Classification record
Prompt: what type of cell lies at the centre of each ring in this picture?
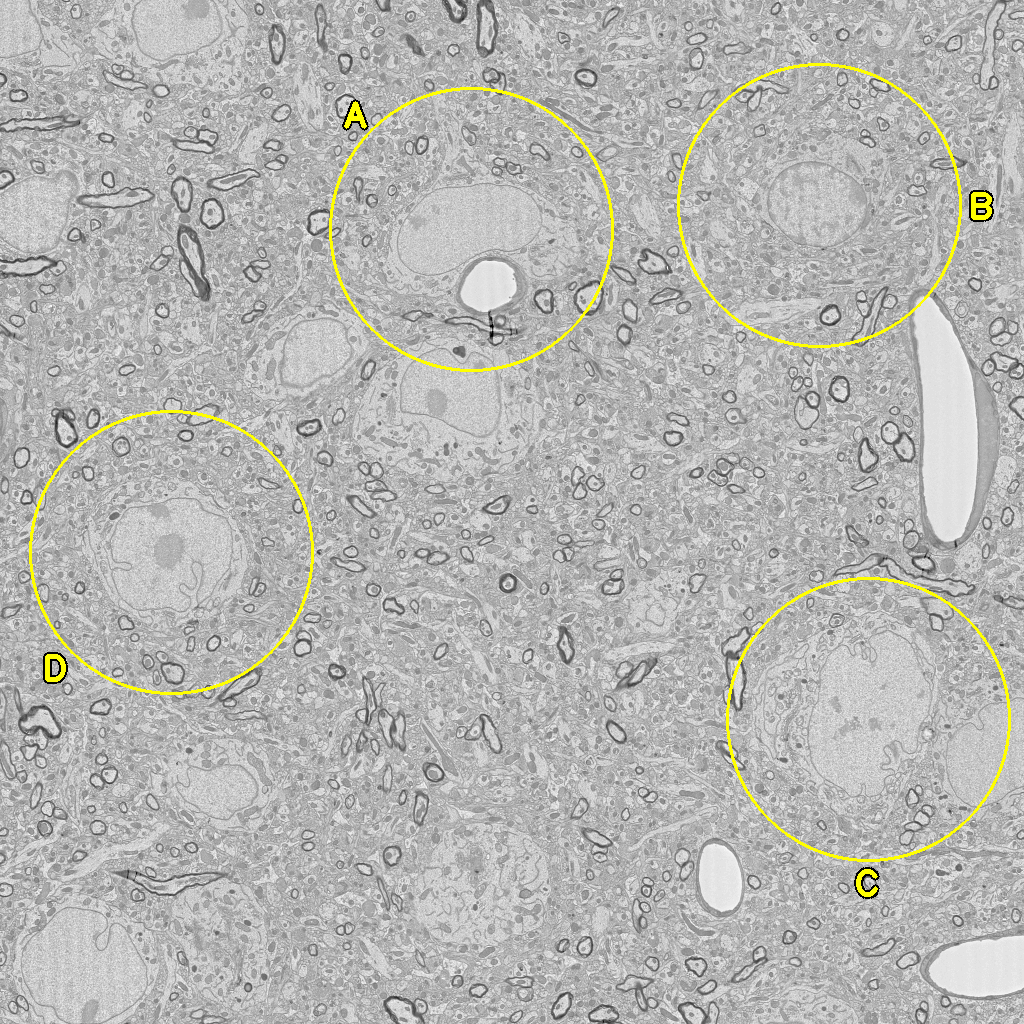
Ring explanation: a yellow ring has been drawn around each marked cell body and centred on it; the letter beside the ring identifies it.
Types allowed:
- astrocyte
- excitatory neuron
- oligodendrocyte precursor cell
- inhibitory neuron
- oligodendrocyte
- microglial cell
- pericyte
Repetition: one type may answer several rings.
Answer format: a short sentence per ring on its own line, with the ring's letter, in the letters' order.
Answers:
Ring A shows an excitatory neuron at its centre.
Ring B shows an oligodendrocyte at its centre.
Ring C shows an inhibitory neuron at its centre.
Ring D shows an inhibitory neuron at its centre.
